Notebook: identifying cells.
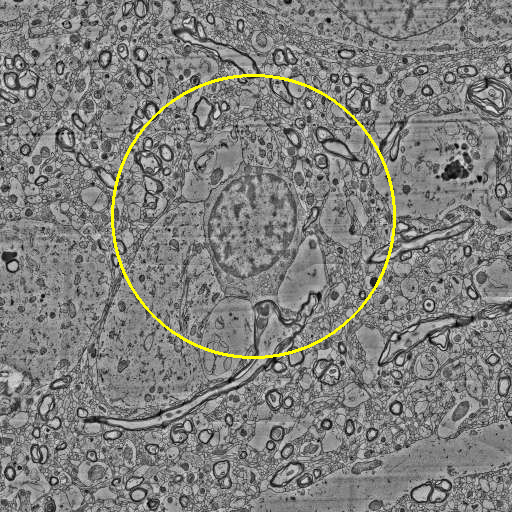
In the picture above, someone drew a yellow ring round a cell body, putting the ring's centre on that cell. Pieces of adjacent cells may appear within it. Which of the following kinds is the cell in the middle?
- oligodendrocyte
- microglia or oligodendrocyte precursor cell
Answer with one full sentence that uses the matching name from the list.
In this picture, the yellow ring is centred on the body of an oligodendrocyte.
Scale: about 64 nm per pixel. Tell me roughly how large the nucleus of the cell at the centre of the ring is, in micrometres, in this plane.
Roughly 7 by 5 micrometres in this plane, for the nucleus of the ringed cell.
